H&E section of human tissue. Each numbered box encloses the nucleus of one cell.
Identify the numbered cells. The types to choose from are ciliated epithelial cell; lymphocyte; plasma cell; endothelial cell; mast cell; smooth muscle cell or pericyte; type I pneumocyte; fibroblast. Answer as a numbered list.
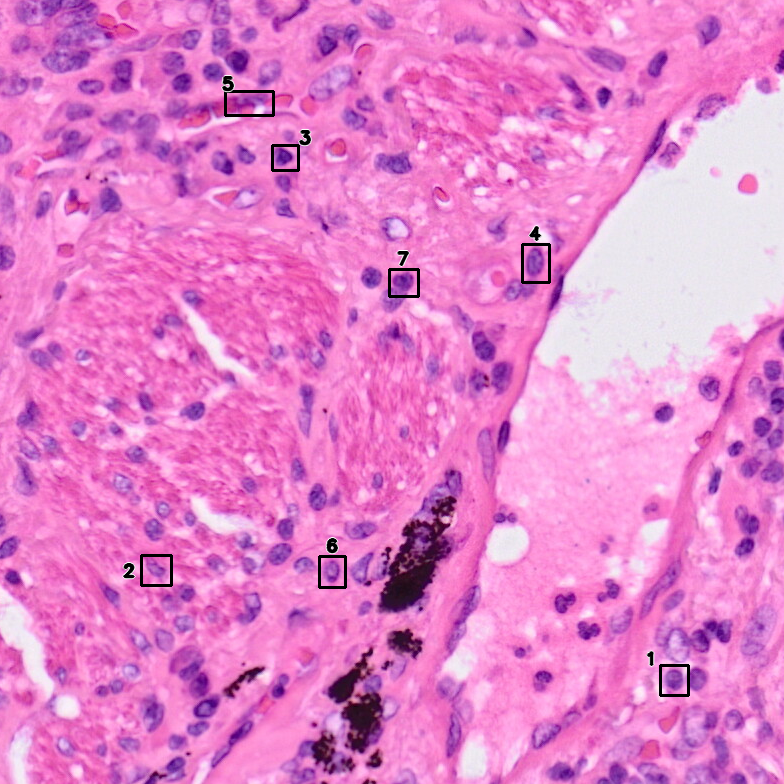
1. lymphocyte
2. smooth muscle cell or pericyte
3. lymphocyte
4. mast cell
5. endothelial cell
6. mast cell
7. lymphocyte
